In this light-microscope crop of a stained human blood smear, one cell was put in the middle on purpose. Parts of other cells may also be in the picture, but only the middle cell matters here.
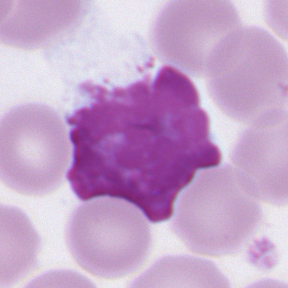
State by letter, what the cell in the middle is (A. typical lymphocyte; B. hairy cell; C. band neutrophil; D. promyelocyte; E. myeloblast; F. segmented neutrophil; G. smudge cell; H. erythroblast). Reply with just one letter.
G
